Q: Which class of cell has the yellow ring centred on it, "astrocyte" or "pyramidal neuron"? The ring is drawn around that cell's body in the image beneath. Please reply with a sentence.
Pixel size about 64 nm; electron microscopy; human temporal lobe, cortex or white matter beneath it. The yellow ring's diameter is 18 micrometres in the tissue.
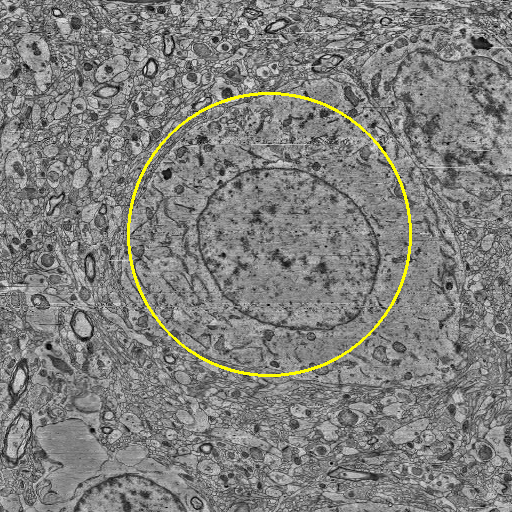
It is centred on a pyramidal neuron.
